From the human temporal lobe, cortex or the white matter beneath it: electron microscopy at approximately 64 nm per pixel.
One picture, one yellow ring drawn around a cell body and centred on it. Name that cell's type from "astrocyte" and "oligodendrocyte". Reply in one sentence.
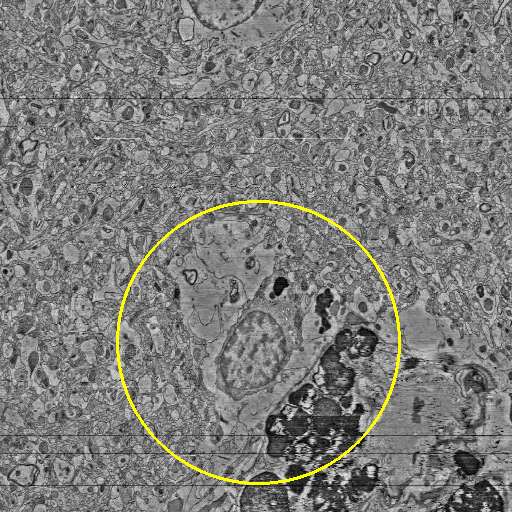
Centred in the ring is an oligodendrocyte.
